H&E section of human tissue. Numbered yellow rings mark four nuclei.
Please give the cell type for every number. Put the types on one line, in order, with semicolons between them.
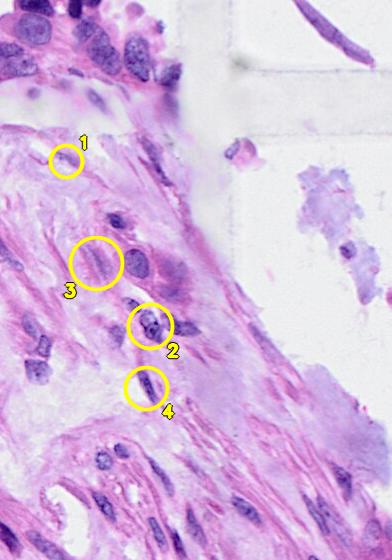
fibroblast; macrophage or monocyte; fibroblast; fibroblast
